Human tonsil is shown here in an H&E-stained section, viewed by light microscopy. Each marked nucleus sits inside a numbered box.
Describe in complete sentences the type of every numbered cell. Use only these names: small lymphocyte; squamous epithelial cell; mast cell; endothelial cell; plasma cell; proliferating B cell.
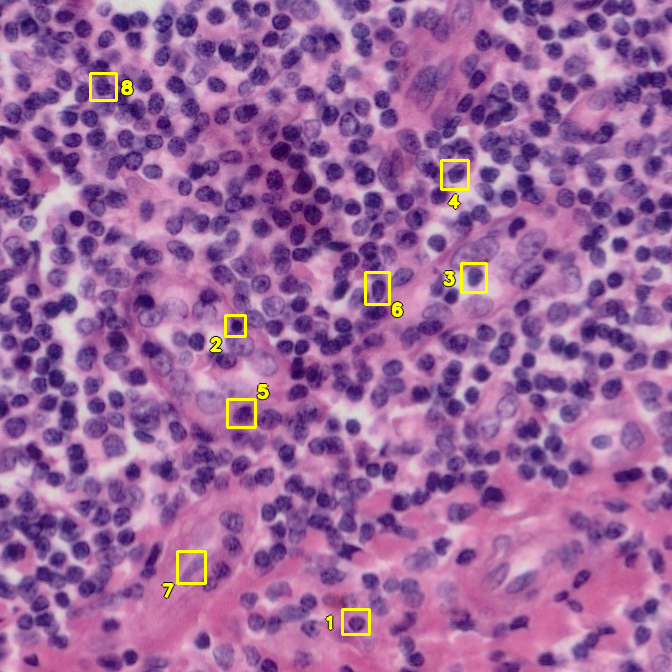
Cell 1 is a mast cell, cell 2 is an endothelial cell, cell 3 is an endothelial cell, cell 4 is a small lymphocyte, cell 5 is an endothelial cell, cell 6 is a small lymphocyte, cell 7 is an endothelial cell and cell 8 is a small lymphocyte.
